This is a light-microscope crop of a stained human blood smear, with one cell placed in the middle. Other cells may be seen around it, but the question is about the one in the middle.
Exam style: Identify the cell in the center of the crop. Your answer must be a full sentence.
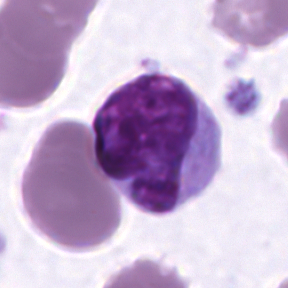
The cell sitting right in the middle is a plasma cell.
